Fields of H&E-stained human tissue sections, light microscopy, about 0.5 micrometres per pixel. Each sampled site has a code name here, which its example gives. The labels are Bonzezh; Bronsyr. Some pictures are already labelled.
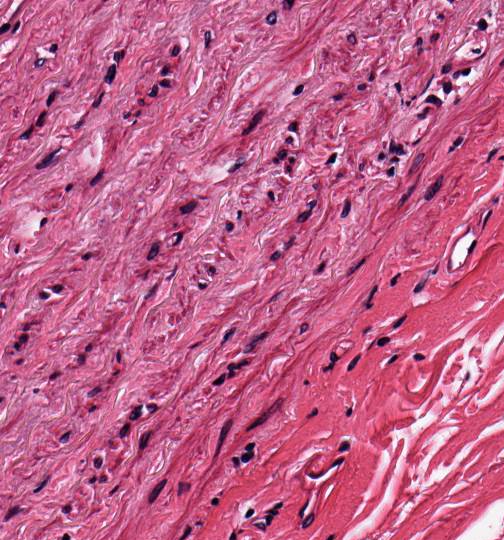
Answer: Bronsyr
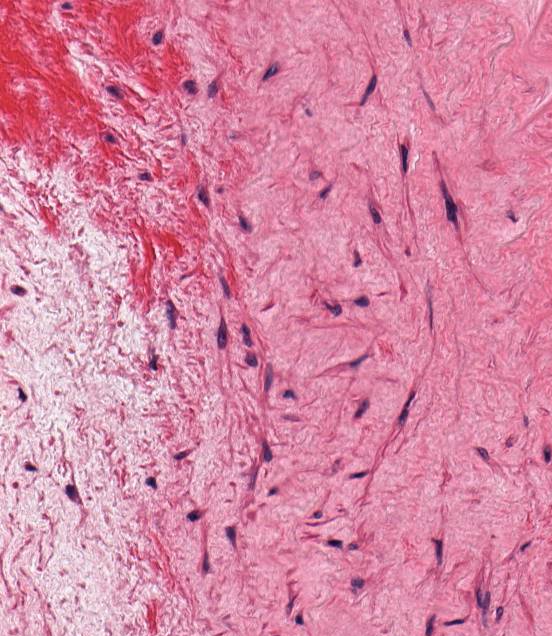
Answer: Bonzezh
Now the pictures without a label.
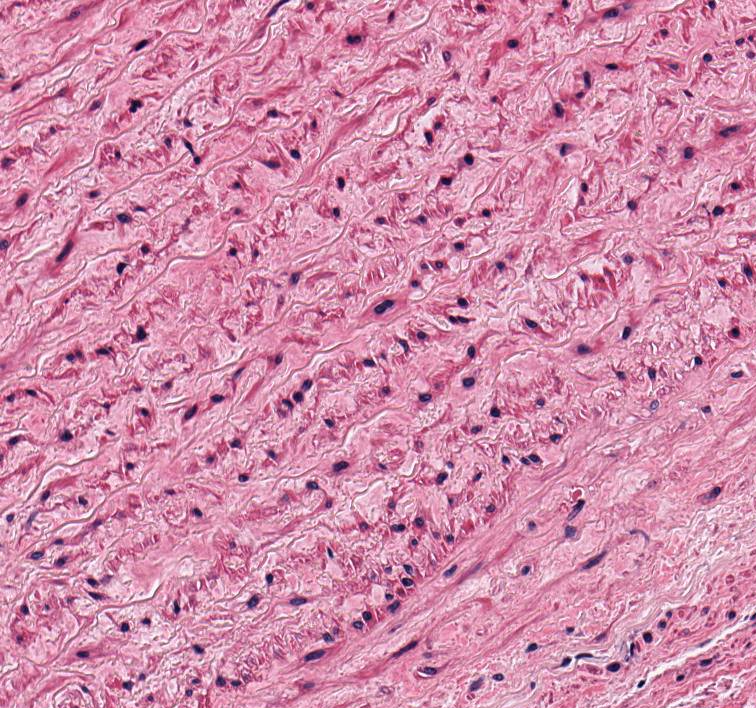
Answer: Bronsyr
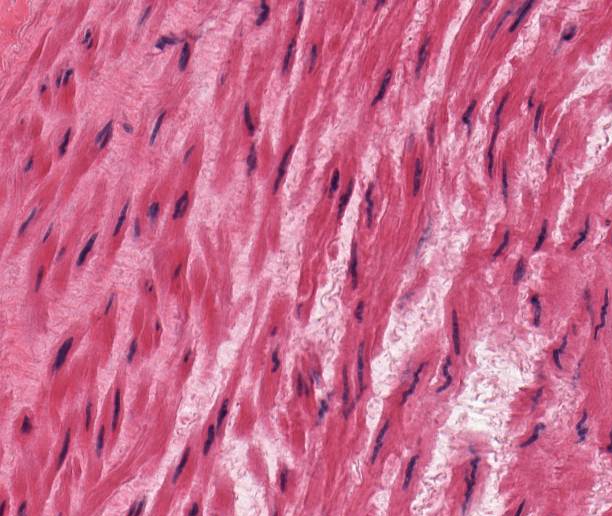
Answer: Bonzezh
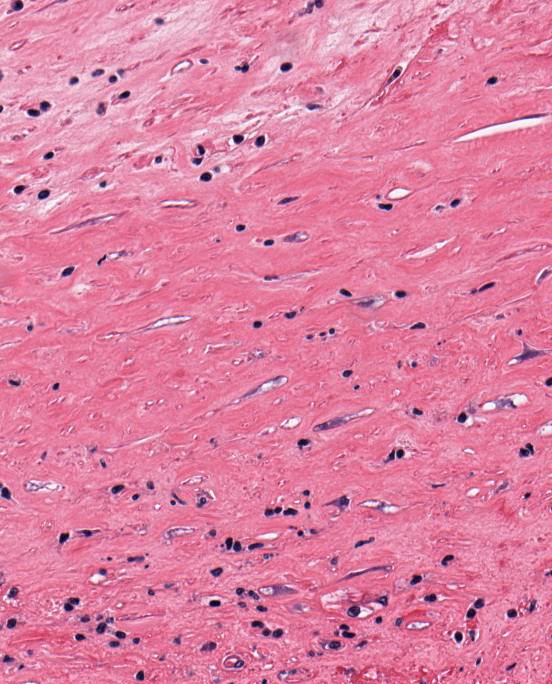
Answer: Bonzezh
